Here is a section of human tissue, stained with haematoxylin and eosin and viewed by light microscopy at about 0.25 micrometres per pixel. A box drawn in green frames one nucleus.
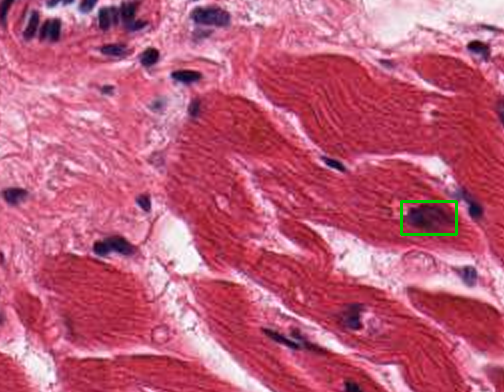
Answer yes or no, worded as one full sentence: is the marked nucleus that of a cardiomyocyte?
Yes, the cell containing the marked nucleus is a cardiomyocyte.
